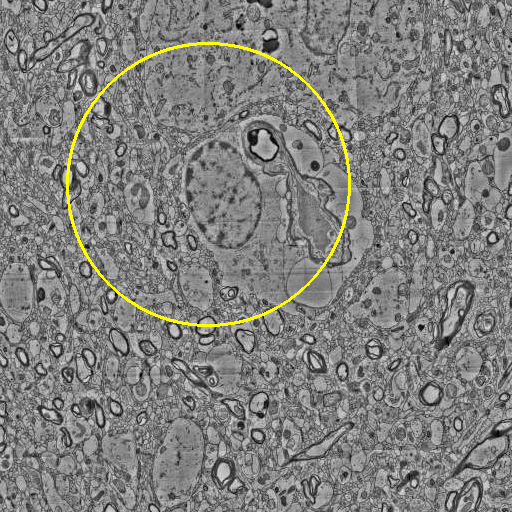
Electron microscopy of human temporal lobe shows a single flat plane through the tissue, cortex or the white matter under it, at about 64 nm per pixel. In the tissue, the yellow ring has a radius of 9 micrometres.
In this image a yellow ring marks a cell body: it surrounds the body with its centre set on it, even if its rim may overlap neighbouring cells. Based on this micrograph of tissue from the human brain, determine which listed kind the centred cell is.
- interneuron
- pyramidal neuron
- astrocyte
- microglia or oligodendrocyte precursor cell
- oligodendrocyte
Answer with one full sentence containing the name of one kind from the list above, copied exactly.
It is a microglial cell or oligodendrocyte precursor cell whose body the yellow ring encloses at its centre.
